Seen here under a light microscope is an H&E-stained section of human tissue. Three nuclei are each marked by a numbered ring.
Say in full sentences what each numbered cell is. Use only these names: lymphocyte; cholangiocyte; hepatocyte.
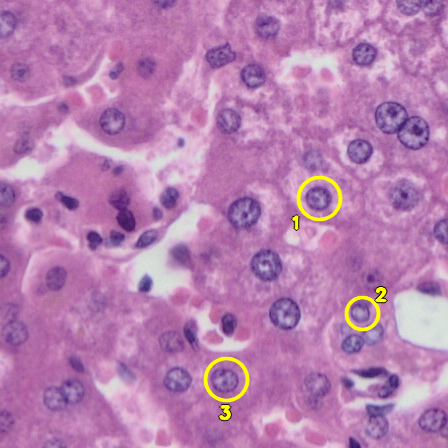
Cells 1 and 3 are hepatocytes. Cell 2 is a cholangiocyte.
